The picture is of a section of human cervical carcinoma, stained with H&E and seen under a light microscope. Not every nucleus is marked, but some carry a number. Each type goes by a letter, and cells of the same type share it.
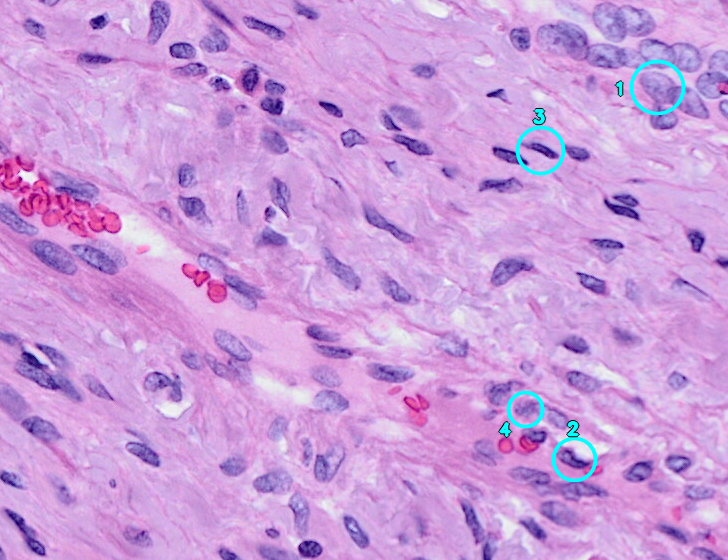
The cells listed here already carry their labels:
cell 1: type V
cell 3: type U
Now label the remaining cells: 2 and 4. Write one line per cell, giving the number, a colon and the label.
2: type V
4: type V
